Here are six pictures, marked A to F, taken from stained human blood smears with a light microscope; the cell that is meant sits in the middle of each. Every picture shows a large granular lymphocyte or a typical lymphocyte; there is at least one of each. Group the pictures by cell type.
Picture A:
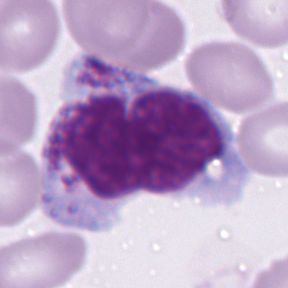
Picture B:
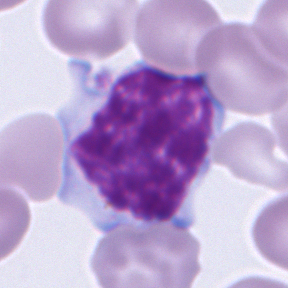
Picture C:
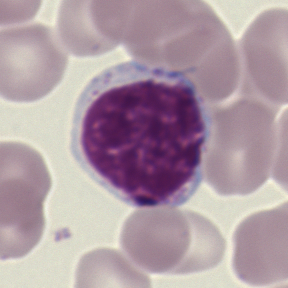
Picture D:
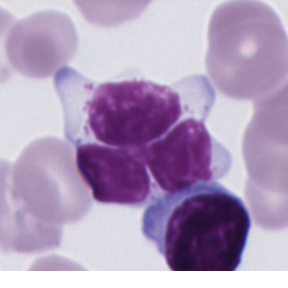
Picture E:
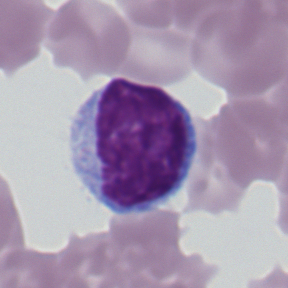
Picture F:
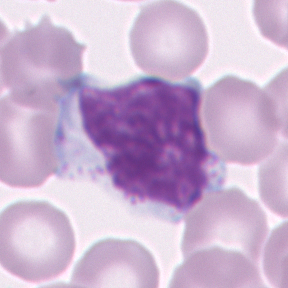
A: large granular lymphocyte
B: typical lymphocyte
C: large granular lymphocyte
D: large granular lymphocyte
E: typical lymphocyte
F: large granular lymphocyte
